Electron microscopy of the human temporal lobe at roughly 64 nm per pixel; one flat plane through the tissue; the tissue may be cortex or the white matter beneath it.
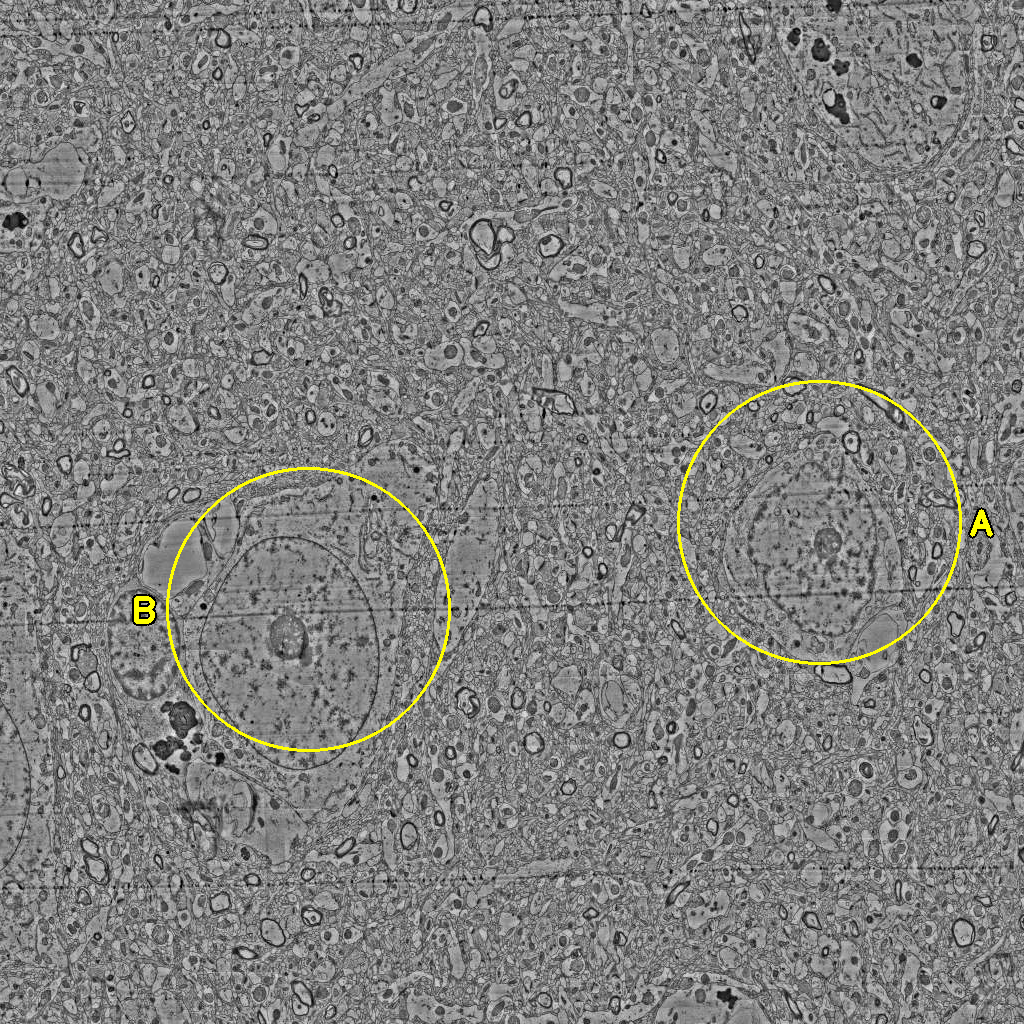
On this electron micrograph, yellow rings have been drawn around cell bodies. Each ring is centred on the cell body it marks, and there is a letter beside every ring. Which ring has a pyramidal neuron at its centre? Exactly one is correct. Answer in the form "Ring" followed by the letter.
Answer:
Ring B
